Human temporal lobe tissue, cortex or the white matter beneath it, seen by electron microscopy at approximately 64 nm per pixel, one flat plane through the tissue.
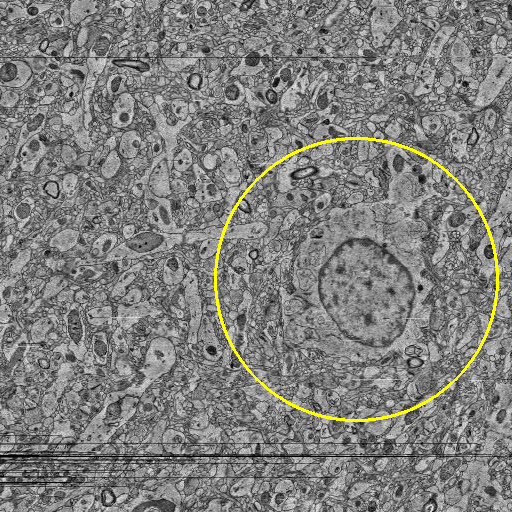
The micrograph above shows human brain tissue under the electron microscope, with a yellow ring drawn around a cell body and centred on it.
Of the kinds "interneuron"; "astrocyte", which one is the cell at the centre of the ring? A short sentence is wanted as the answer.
The one at the centre of the ring is an astrocyte.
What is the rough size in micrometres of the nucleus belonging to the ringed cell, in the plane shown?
The nucleus works out at approximately 7 by 6 micrometres in this plane.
